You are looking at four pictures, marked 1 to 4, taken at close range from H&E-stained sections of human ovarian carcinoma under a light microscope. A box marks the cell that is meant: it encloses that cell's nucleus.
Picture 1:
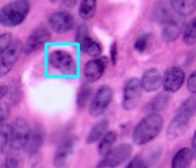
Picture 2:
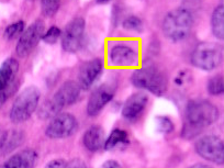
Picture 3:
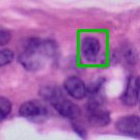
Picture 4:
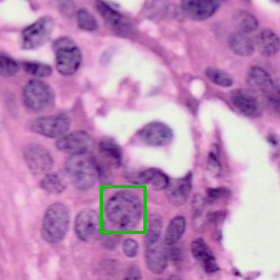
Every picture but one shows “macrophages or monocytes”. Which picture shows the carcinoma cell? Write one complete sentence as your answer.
The carcinoma cell is the one in picture 4.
